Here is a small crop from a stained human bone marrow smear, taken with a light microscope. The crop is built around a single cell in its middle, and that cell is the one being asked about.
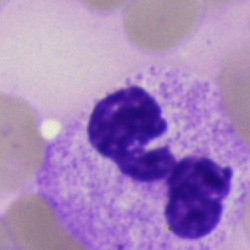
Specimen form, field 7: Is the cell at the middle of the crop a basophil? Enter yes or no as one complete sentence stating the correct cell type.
No, the central cell qualifies as a segmented neutrophil rather than as a basophil.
